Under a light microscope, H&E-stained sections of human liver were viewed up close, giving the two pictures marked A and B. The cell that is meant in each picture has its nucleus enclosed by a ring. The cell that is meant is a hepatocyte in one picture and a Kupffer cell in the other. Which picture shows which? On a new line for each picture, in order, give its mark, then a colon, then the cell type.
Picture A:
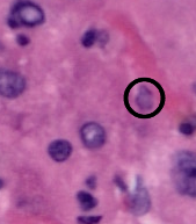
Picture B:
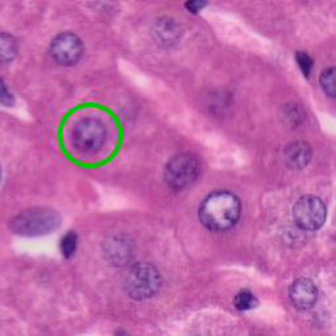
A: Kupffer cell
B: hepatocyte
